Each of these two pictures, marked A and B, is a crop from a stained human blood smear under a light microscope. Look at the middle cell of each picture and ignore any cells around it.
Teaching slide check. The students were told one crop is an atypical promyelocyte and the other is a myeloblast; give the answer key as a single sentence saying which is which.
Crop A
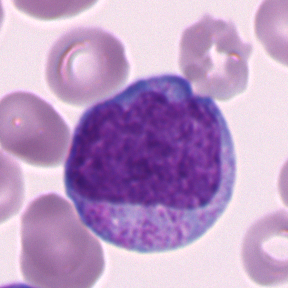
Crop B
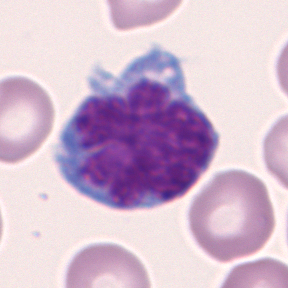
Crop A is labelled an atypical promyelocyte, and crop B is labelled a myeloblast.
